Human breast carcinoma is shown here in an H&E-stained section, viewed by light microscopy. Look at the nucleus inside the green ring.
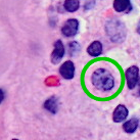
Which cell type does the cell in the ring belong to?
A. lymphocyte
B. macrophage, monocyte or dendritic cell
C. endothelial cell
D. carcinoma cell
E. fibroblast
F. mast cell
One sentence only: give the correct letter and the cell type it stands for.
Option F names the cell in the ring correctly as a mast cell.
